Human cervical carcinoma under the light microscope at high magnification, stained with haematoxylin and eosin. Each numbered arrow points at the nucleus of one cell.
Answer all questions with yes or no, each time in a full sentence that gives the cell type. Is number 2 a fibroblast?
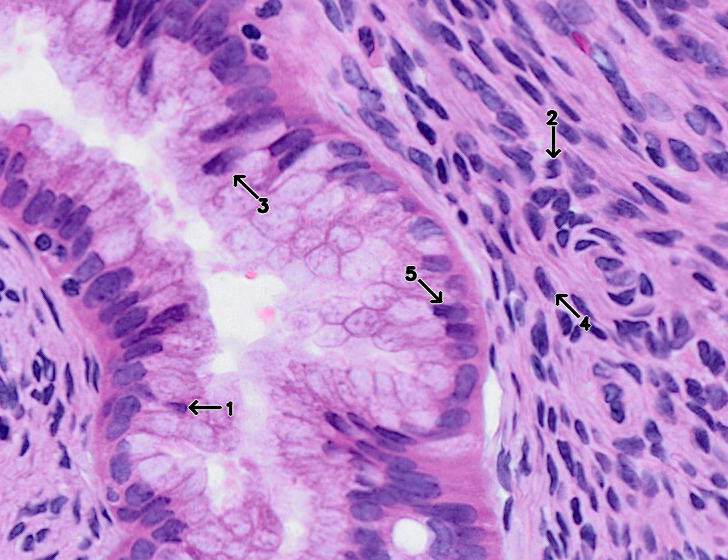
Yes, exactly, the cell numbered 2 is a fibroblast.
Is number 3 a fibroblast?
No, cell 3 is not a fibroblast at all but a secretory epithelial cell.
